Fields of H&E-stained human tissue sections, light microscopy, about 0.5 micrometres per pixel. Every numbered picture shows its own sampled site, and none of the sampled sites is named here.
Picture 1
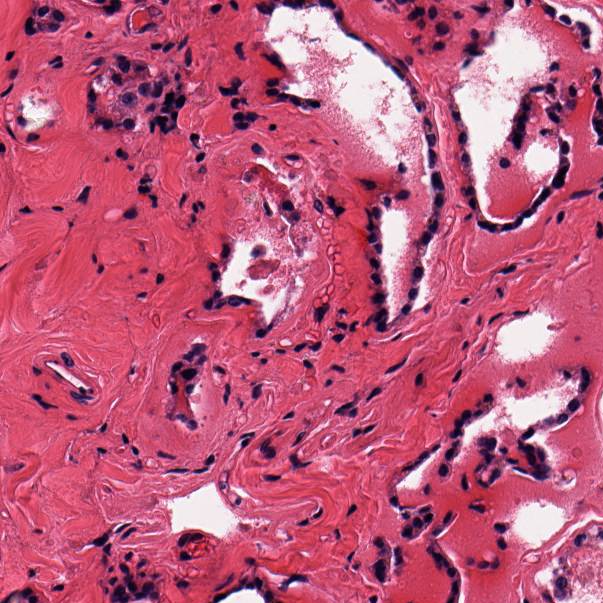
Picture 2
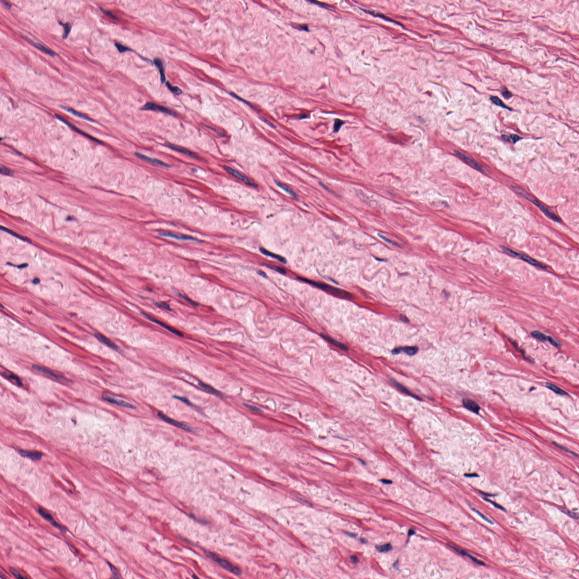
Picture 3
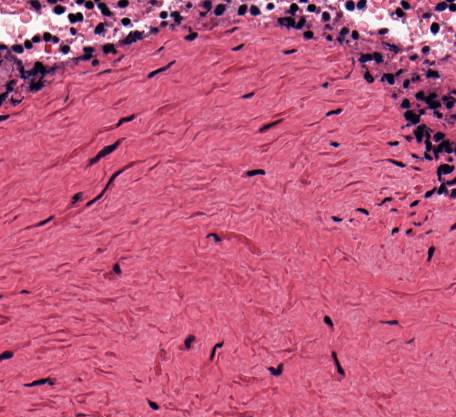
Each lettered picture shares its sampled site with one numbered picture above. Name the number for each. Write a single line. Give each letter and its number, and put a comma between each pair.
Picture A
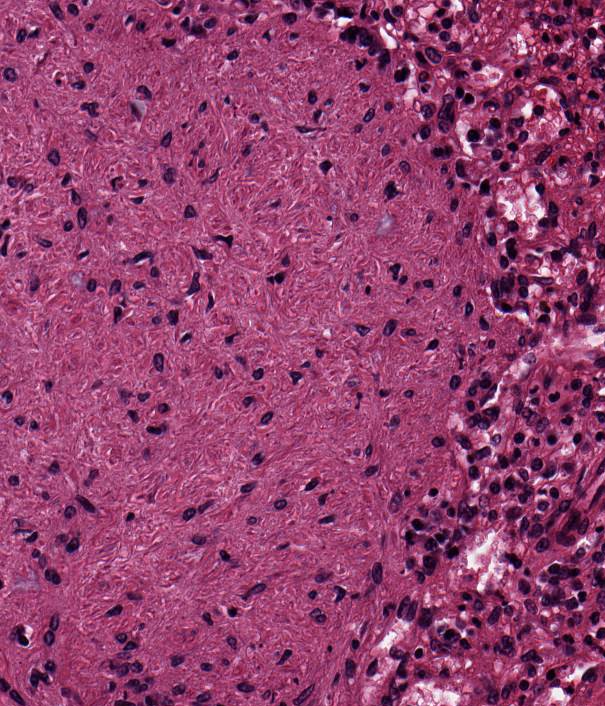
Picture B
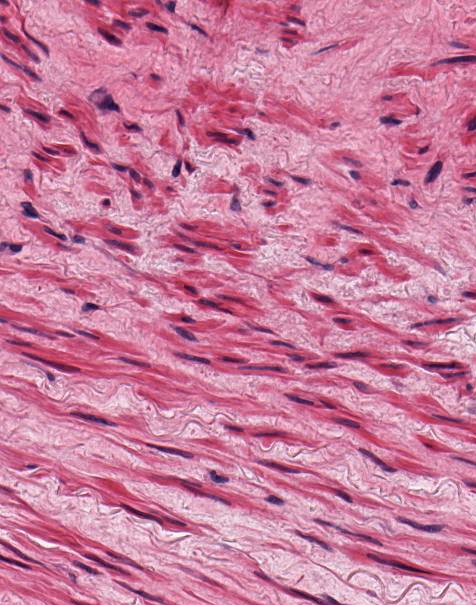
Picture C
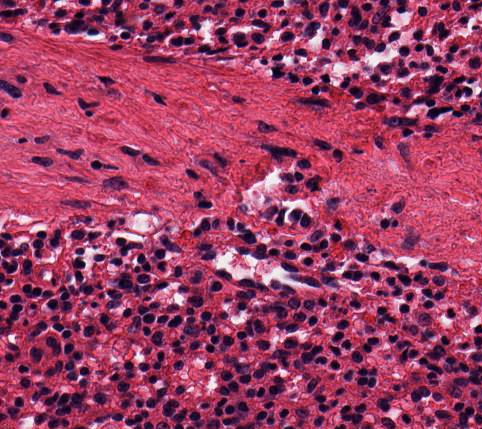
A 3, B 2, C 3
